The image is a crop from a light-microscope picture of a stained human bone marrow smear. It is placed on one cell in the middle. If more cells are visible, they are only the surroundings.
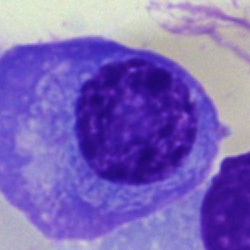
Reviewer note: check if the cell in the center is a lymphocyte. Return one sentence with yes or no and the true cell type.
No, the central cell qualifies as a plasma cell rather than as a lymphocyte.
